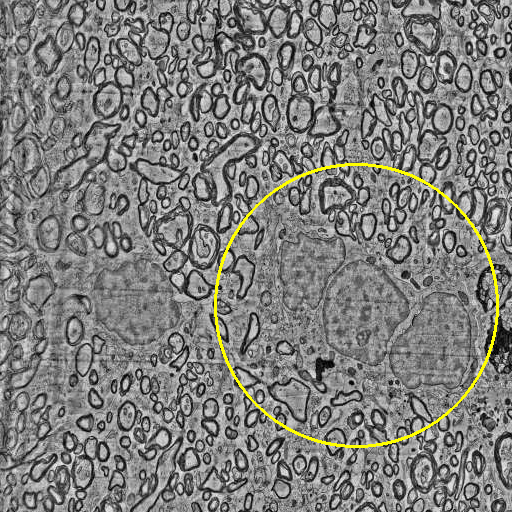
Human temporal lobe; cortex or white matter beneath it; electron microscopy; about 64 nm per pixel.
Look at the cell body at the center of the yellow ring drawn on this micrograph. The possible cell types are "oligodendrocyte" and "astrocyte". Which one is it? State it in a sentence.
The cell in the middle of the ring is an oligodendrocyte.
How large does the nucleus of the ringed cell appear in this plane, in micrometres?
In this plane the nucleus spans approximately 7 by 5 micrometers.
